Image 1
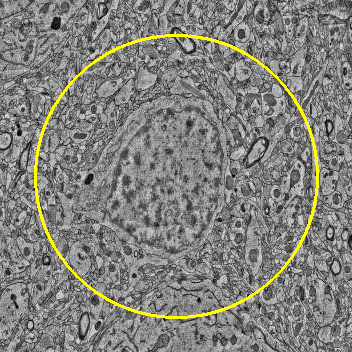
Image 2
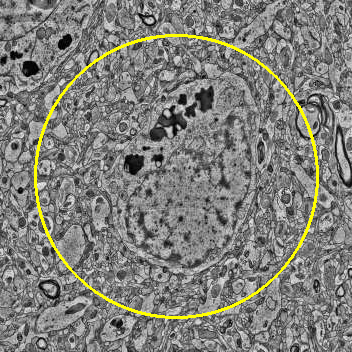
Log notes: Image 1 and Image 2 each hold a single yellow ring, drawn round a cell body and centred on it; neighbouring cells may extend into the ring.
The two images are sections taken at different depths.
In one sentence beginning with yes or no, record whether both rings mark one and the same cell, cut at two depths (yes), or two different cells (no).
Yes, one cell is ringed in yellow twice over.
